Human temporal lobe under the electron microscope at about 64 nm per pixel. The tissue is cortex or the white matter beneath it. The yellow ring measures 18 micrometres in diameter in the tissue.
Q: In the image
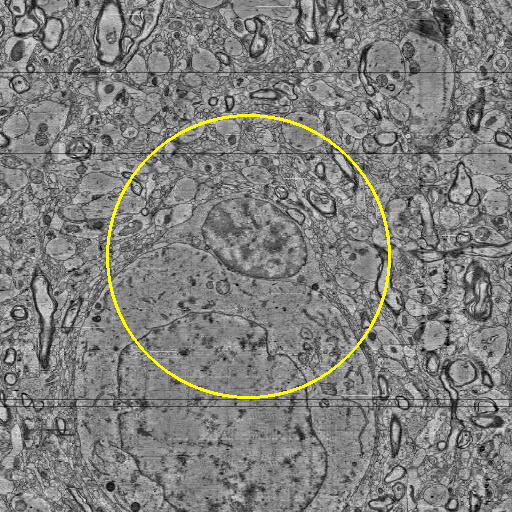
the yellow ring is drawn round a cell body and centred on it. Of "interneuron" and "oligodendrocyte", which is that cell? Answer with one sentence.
The cell centred in the ring is an oligodendrocyte.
